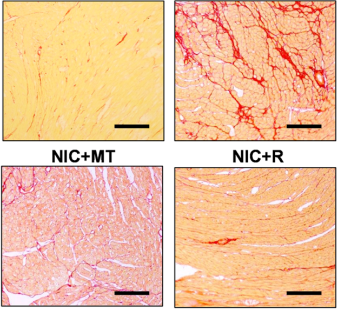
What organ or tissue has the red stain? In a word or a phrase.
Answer: collagen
